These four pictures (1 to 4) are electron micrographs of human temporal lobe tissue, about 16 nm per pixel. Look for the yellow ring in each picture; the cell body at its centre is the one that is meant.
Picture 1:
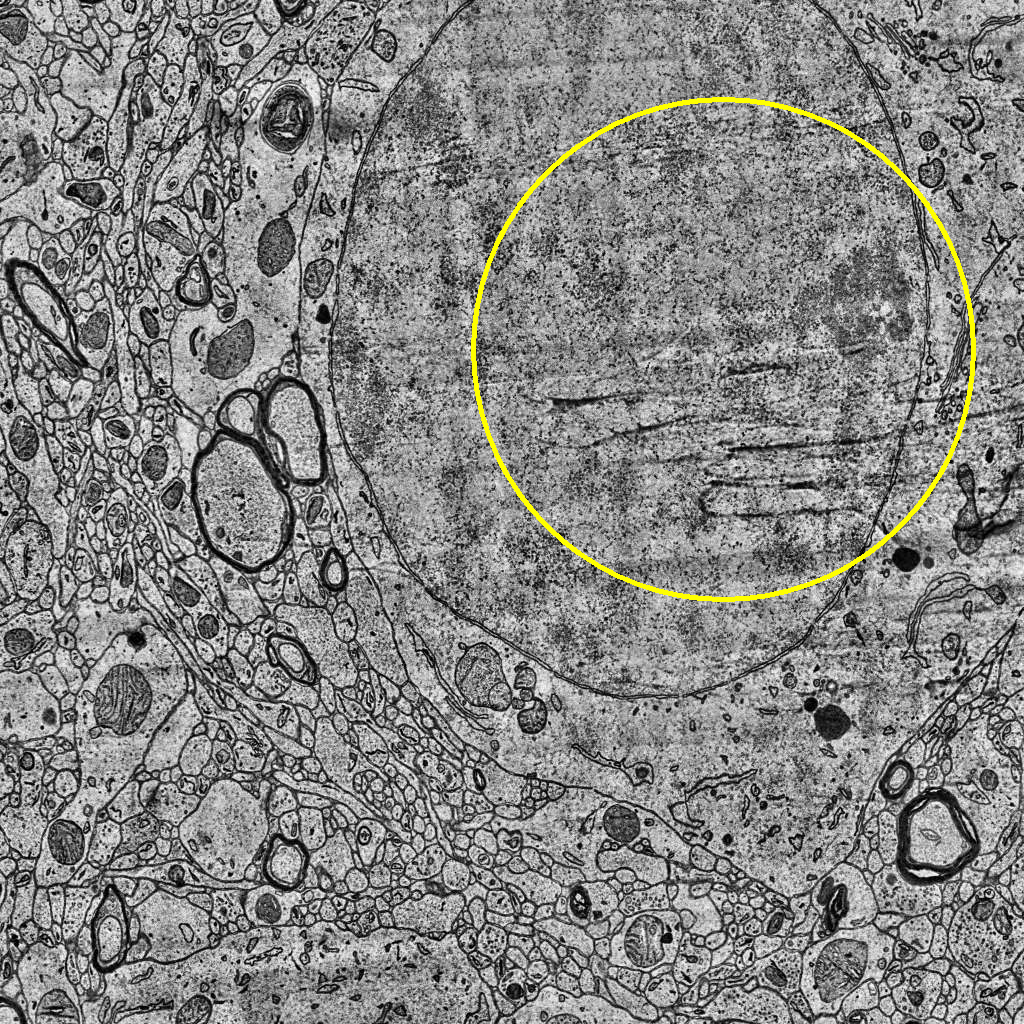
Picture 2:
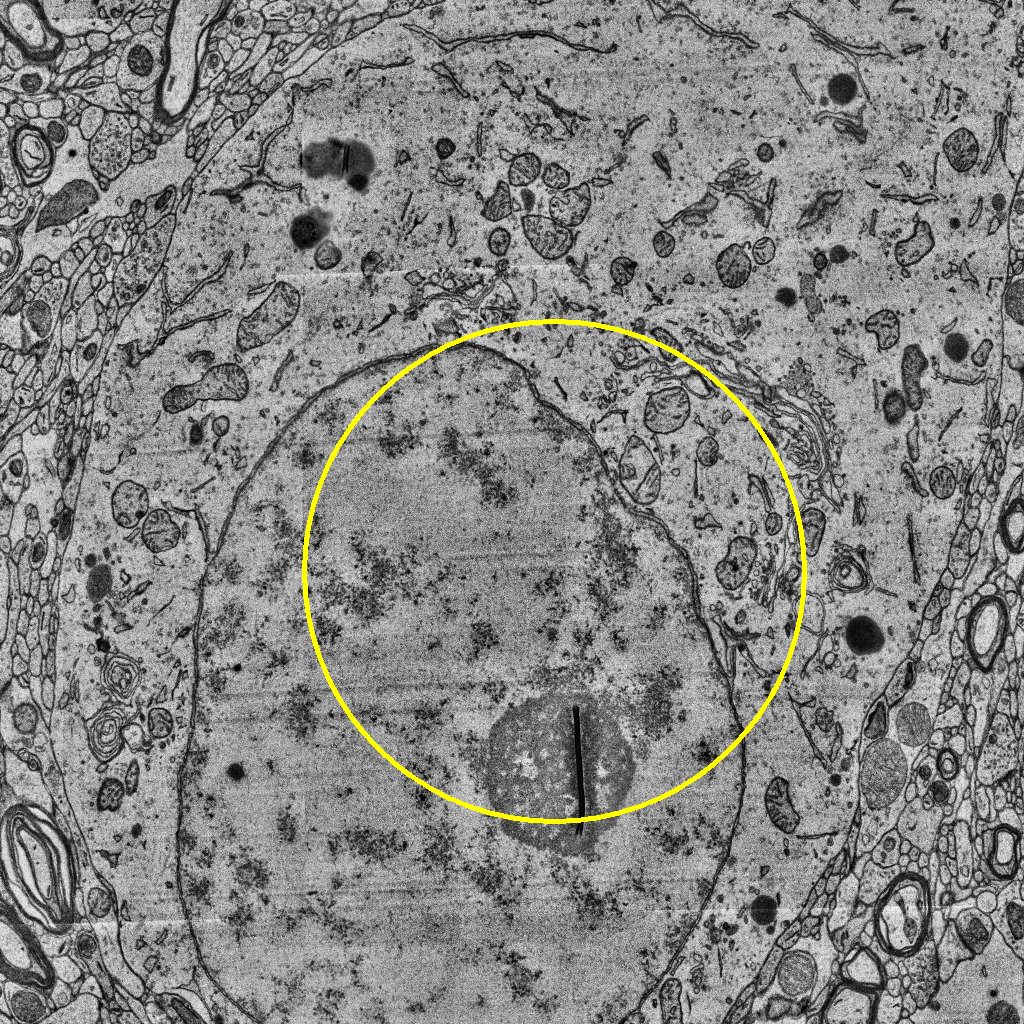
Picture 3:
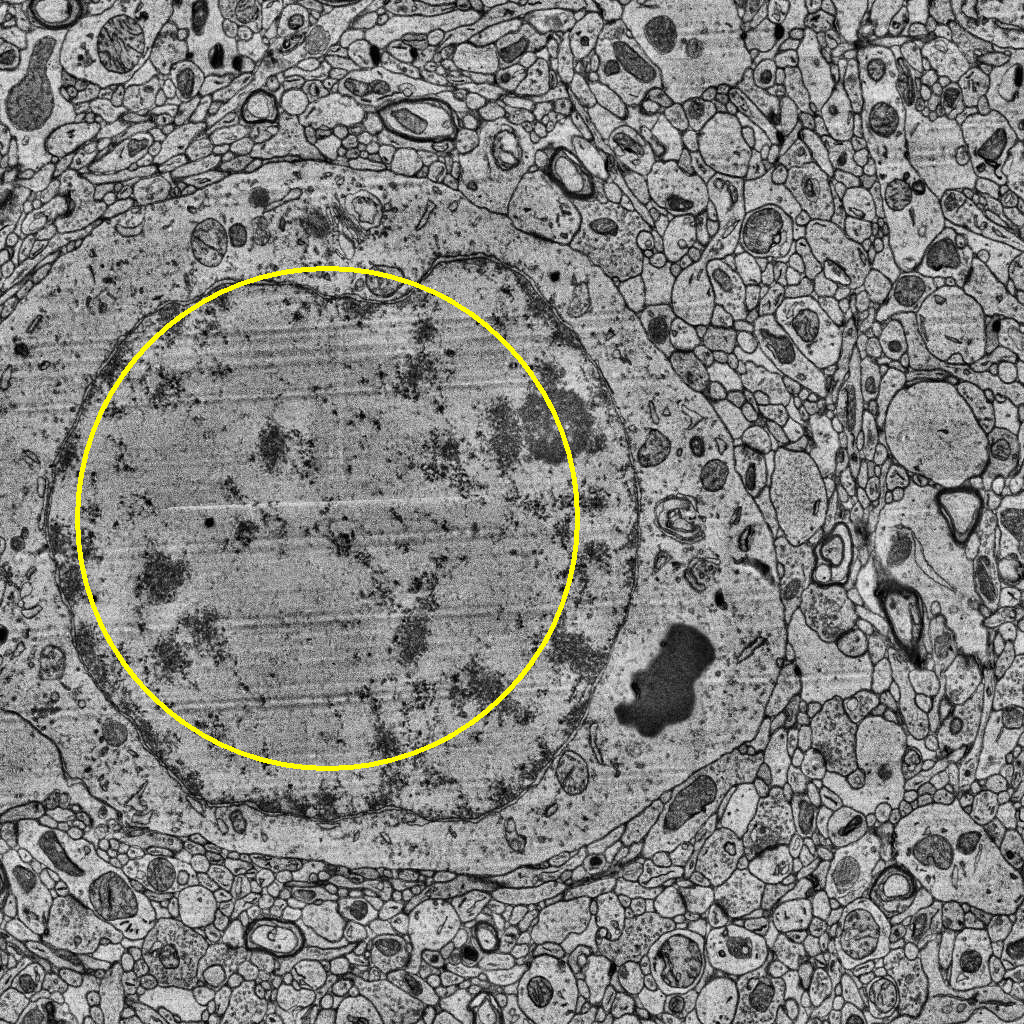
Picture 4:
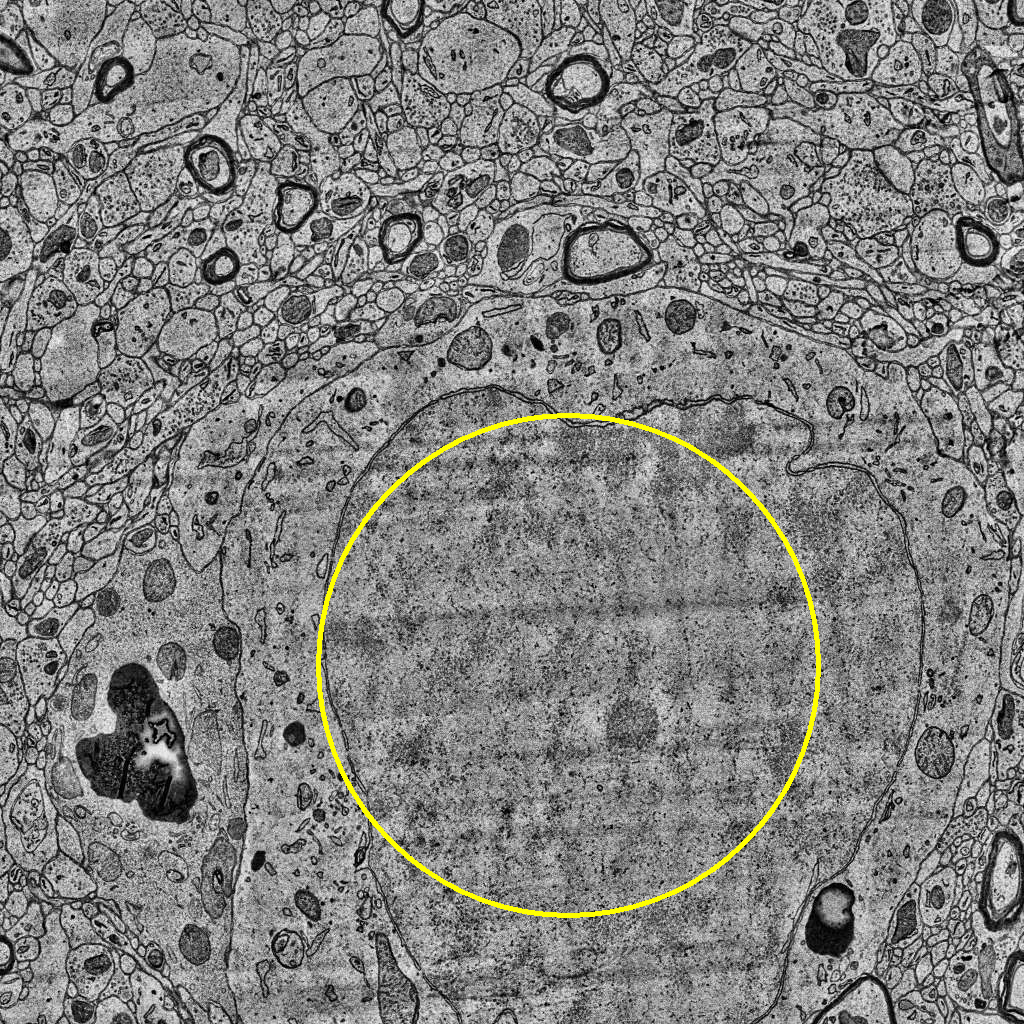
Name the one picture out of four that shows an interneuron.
Picture 3 is the one that shows the interneuron.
